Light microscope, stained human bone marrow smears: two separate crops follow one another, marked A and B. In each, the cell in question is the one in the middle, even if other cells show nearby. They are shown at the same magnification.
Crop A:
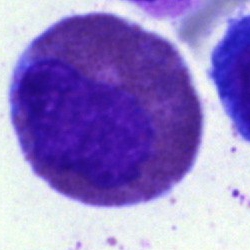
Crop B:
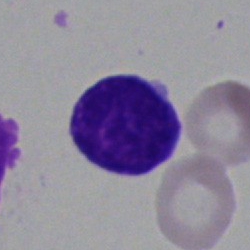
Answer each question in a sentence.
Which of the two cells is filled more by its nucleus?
Of the two, the nucleus in crop B makes up the greater part of its cell.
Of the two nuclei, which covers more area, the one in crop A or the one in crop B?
The nucleus in crop A is larger, with about 1.5 times the area of the one in crop B.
